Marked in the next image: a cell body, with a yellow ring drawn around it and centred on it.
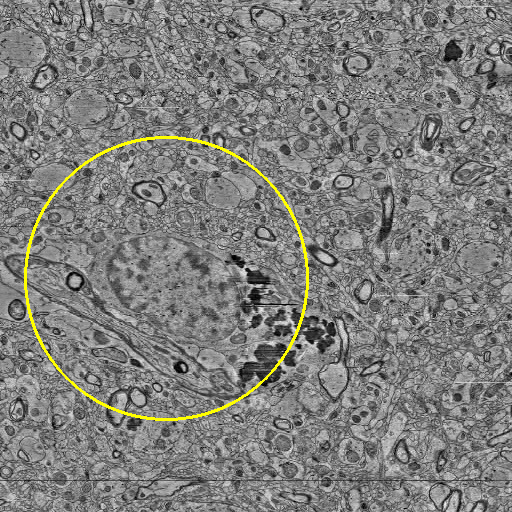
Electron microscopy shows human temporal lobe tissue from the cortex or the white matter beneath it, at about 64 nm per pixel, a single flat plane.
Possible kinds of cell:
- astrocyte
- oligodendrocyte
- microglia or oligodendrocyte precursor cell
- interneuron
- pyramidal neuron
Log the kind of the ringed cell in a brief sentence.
The ringed cell body is that of an oligodendrocyte.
